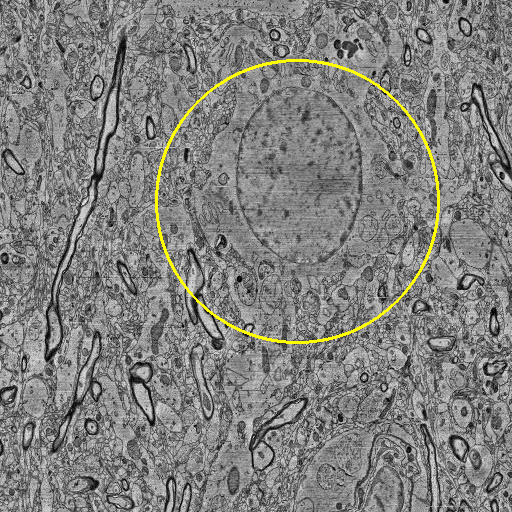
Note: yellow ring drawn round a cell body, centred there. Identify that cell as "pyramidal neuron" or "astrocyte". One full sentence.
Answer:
The cell in the middle of the ring is an astrocyte.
